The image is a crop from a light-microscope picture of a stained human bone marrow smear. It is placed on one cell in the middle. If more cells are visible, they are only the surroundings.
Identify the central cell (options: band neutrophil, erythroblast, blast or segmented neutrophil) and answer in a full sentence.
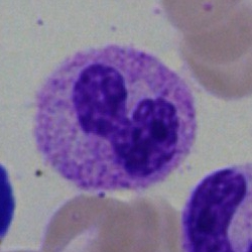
Centred in the crop is a segmented neutrophil.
